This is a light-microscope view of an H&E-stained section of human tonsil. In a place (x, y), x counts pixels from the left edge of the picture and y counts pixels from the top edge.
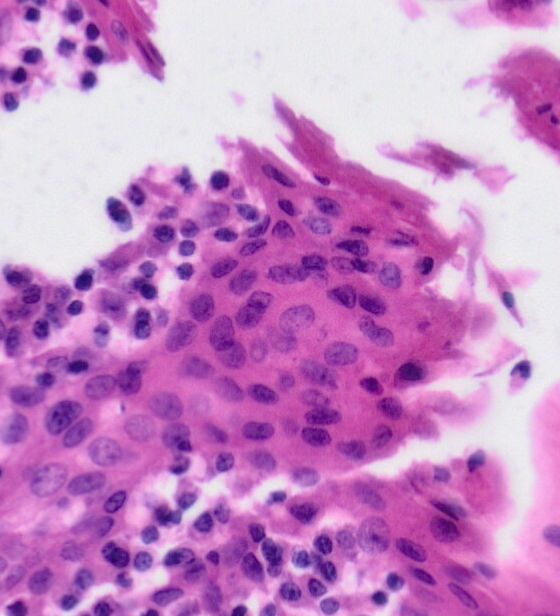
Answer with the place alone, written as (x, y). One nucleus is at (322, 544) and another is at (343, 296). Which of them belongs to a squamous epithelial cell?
(343, 296)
